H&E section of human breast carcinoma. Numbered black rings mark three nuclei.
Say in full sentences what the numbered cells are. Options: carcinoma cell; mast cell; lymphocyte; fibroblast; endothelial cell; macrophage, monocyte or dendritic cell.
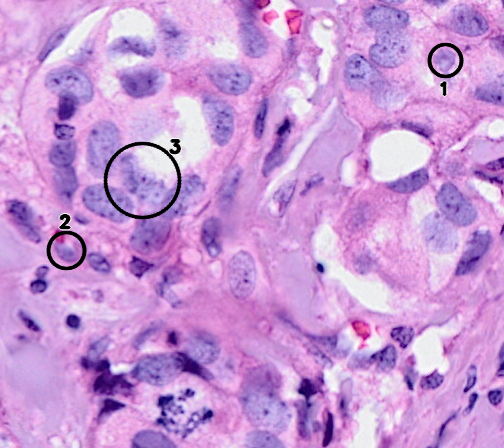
Cell 1 is a carcinoma cell, cell 2 is an endothelial cell and cell 3 is a carcinoma cell.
